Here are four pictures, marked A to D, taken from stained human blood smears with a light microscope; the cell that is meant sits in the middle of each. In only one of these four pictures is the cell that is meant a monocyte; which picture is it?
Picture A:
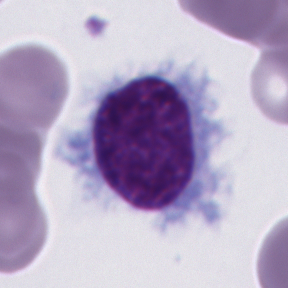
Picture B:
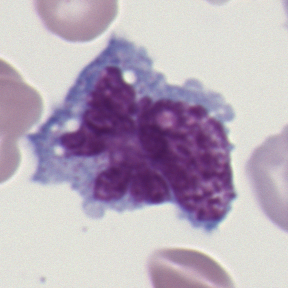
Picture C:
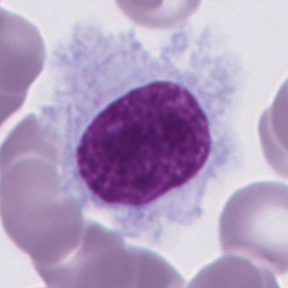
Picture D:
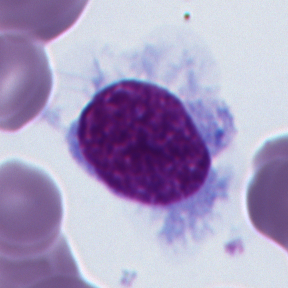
B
